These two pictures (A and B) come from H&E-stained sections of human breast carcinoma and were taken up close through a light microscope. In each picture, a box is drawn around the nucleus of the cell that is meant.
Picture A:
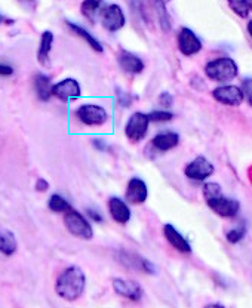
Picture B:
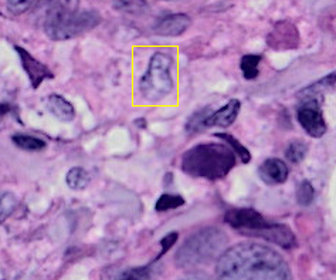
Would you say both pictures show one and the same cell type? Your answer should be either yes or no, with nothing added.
no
